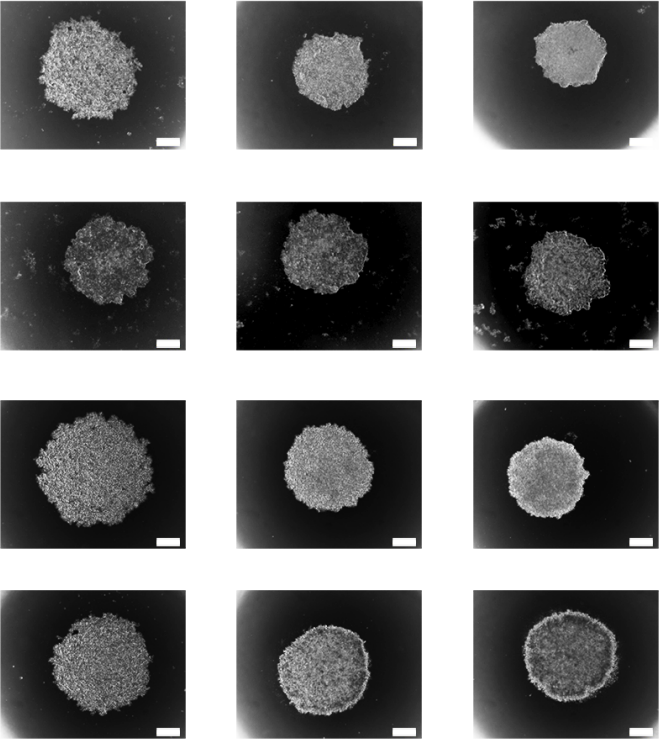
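The masses are roughly circular, some with slightly lobed or irregular borders, and are made of many small, tightly packed cells that give them a fine granular, speckled texture rather than separate outlines. In several frames the edge forms a brighter, smoother rim around a more uniform centre. A few loose small clumps and single cells lie scattered in the surrounding field, apart from the main aggregate.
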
